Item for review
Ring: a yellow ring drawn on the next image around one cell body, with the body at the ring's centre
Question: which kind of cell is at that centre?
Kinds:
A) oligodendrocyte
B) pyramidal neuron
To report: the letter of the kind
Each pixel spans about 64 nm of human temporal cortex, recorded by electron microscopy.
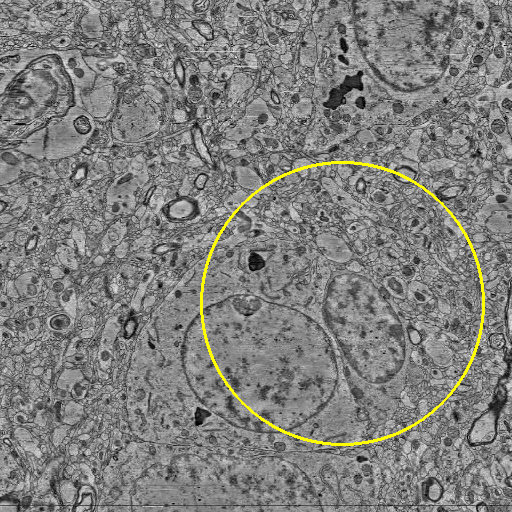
A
